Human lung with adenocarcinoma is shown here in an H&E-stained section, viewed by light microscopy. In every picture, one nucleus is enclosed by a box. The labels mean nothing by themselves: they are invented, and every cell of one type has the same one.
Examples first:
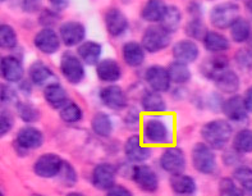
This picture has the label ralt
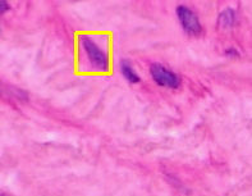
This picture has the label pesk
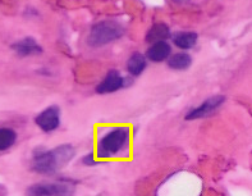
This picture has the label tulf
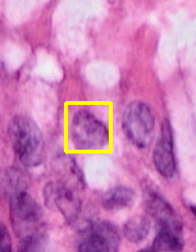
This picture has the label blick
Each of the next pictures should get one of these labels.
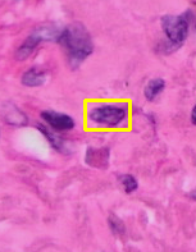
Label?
tulf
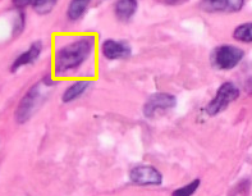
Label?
tulf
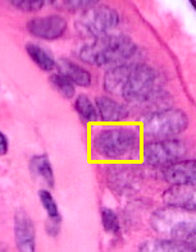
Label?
blick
